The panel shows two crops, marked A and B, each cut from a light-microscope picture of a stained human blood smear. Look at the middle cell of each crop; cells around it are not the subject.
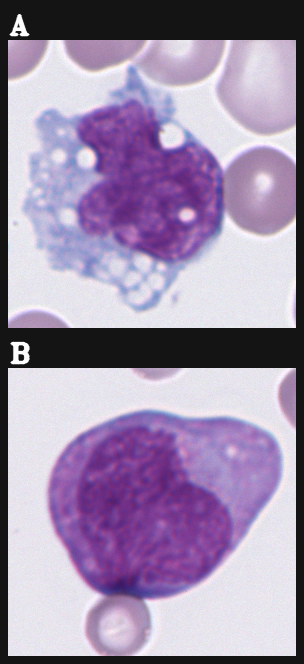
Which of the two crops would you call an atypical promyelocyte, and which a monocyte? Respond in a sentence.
Identified in crop A is a monocyte, with an atypical promyelocyte identified in crop B.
